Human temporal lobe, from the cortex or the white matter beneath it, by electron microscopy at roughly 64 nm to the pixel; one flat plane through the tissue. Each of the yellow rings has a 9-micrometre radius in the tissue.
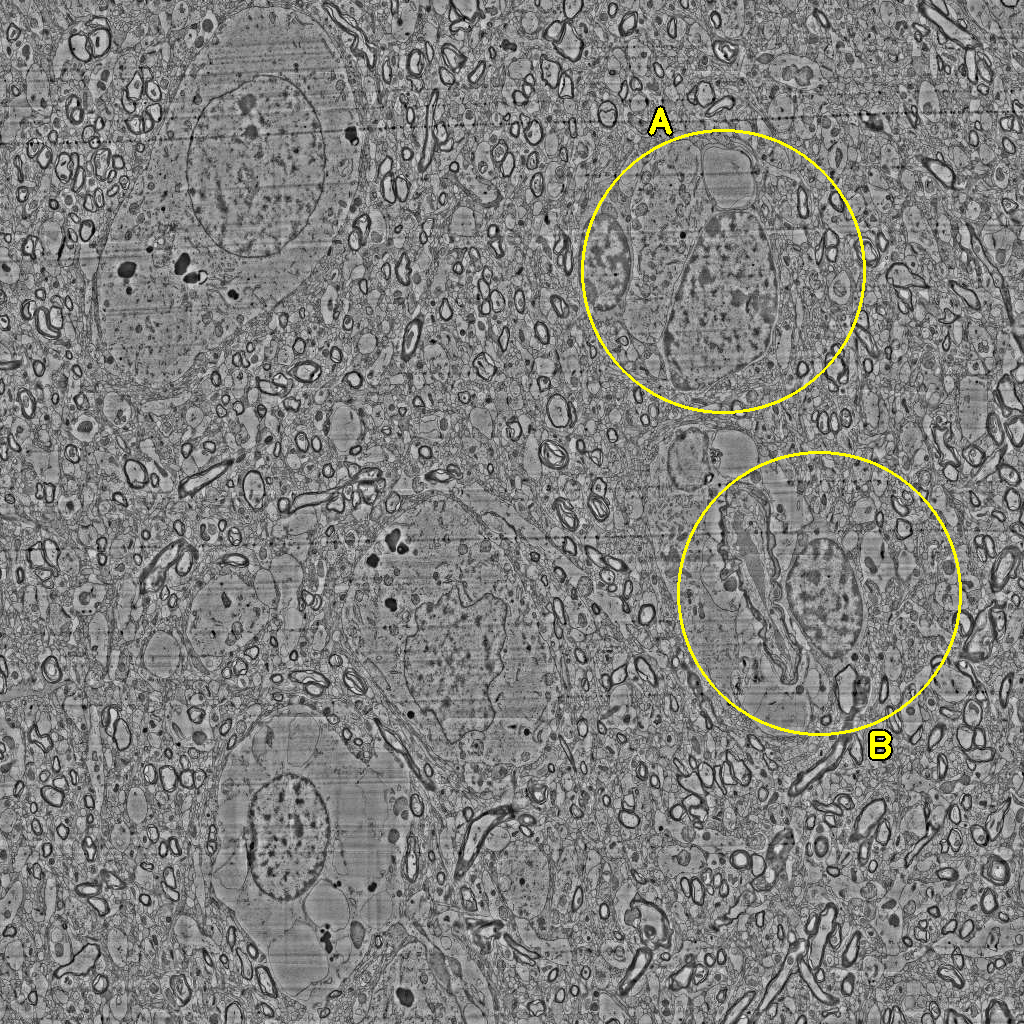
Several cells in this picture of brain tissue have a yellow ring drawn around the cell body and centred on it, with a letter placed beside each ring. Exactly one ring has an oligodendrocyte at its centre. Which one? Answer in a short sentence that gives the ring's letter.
Ring B is centred on it.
